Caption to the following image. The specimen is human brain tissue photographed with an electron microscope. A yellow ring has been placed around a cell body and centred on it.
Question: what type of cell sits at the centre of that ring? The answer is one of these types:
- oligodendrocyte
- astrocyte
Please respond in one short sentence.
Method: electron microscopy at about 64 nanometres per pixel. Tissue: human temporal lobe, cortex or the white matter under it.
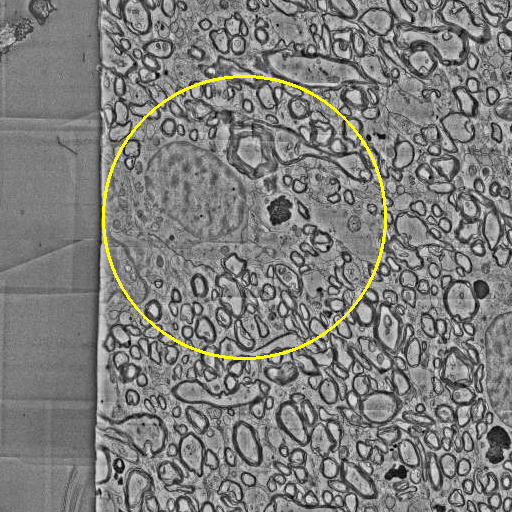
The ring surrounds the cell body of an oligodendrocyte.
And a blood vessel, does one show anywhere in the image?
Yes, a blood vessel shows in the picture.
